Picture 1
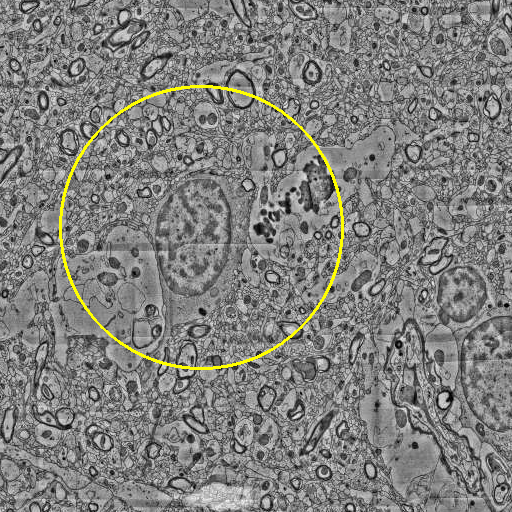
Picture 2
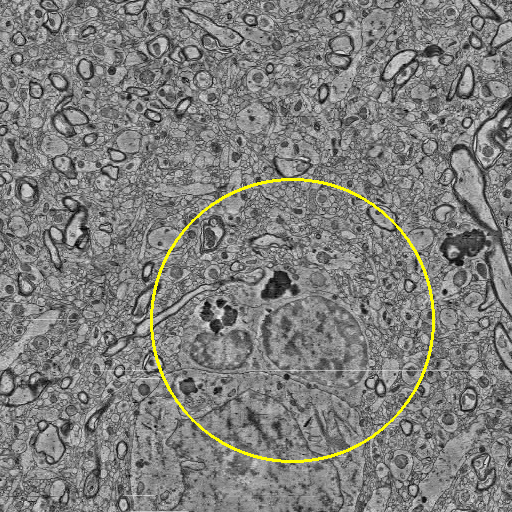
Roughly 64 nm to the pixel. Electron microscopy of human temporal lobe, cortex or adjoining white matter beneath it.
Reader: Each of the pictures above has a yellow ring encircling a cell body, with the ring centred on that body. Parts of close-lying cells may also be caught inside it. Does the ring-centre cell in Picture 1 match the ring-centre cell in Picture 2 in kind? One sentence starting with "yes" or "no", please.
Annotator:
Yes, Picture 1 and Picture 2 show ring-centre cells of a single kind.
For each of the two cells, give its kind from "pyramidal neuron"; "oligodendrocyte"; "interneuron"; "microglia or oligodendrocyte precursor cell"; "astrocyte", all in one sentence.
Both pictures show an oligodendrocyte at the centre of the ring.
